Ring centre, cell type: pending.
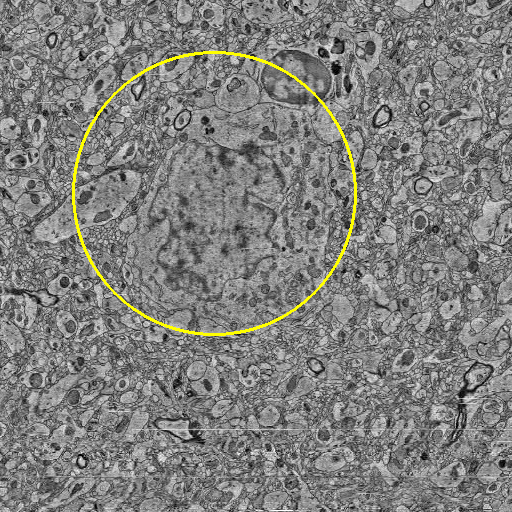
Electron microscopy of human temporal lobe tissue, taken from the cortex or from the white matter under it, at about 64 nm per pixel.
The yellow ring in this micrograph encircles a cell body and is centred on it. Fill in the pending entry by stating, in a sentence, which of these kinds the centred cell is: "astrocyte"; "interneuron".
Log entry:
The centred cell is recorded as an interneuron.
